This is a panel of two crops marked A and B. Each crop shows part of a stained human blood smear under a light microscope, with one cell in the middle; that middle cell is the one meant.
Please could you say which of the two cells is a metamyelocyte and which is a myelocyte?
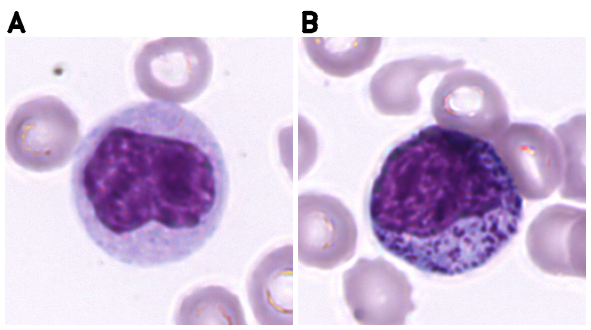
A: metamyelocyte
B: myelocyte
